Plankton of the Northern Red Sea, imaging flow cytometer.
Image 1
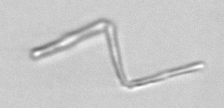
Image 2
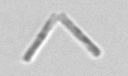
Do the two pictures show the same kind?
Yes, both are Nanoneis.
